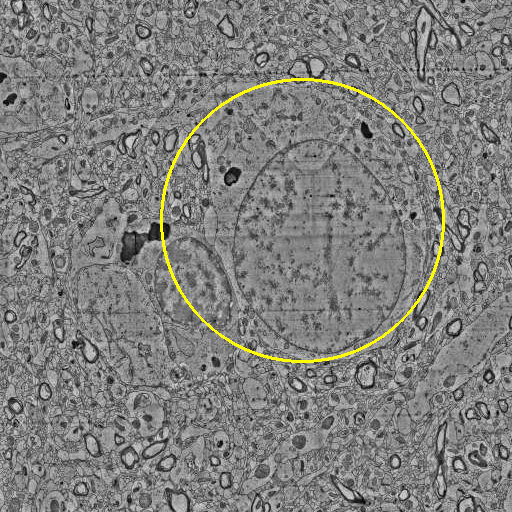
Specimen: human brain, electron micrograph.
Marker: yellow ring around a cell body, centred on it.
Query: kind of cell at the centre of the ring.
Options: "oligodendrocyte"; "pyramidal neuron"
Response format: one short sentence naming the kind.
This cell body belongs to a pyramidal neuron.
